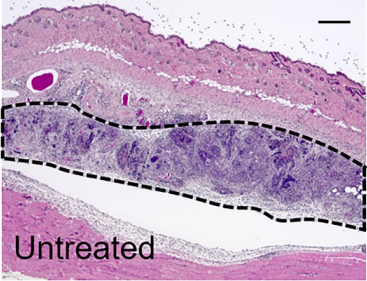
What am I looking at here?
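The band contains dense purple clusters of nuclei within paler tissue. Beneath it lies pink muscle.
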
